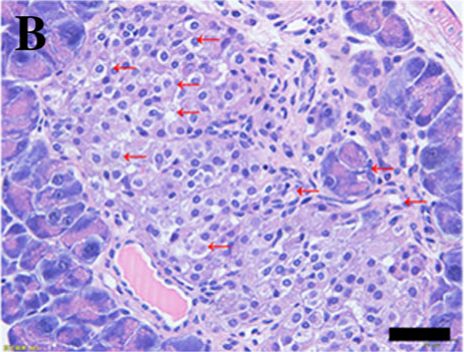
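This is a pancreatic islet set among purple-staining exocrine acini, but its organisation looks disordered. Many islet cells have pale, vacuolated-looking cytoplasm, and the cells are loosely and irregularly arranged, with strands of spindle-shaped nuclei running between them. A blood vessel filled with pink red blood cells lies at the lower edge of the islet.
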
